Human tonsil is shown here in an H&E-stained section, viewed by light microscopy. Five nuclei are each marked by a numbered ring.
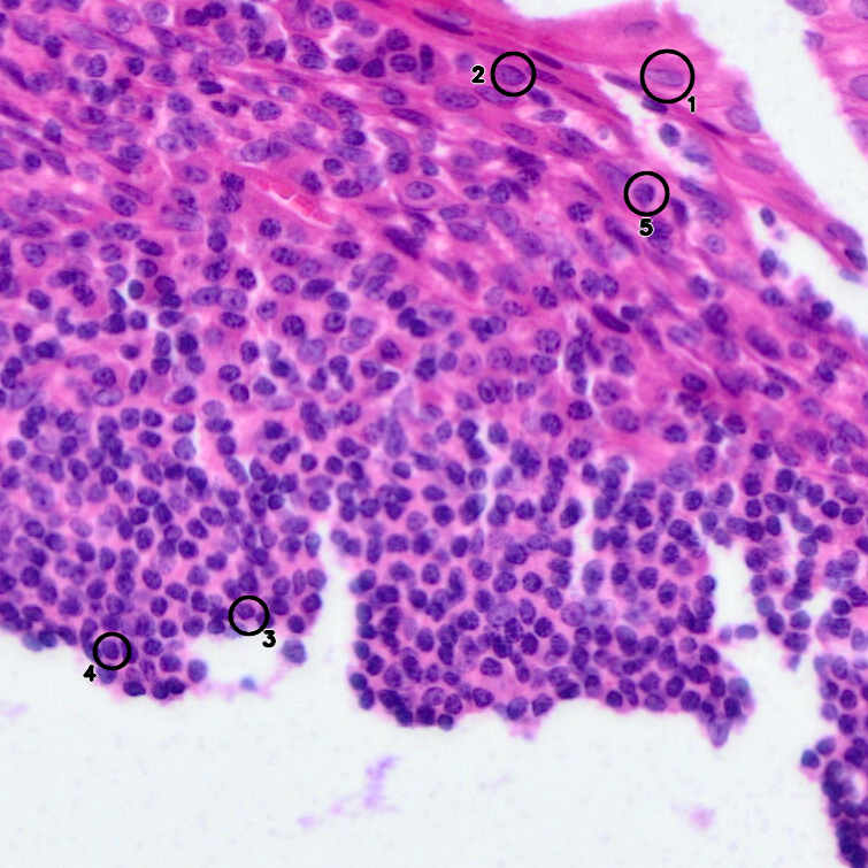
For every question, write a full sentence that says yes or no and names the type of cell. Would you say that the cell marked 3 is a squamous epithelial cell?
No, the cell labelled 3 is a small lymphocyte and not a squamous epithelial cell.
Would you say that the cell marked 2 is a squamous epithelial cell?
Yes, the marked cell with number 2 is a squamous epithelial cell.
